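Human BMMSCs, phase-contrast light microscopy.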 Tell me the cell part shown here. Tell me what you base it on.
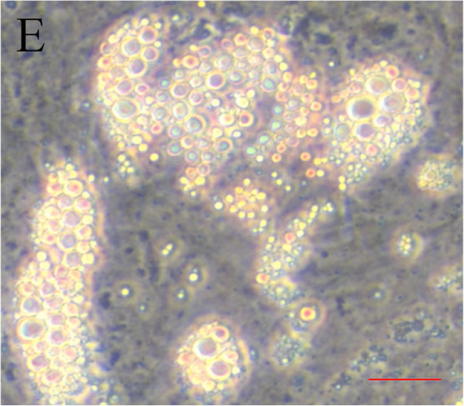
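Cells are packed with many round, bright, refractile droplets. The droplets vary in size and lie in tight clusters.
Hence: intracellular fat droplets.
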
